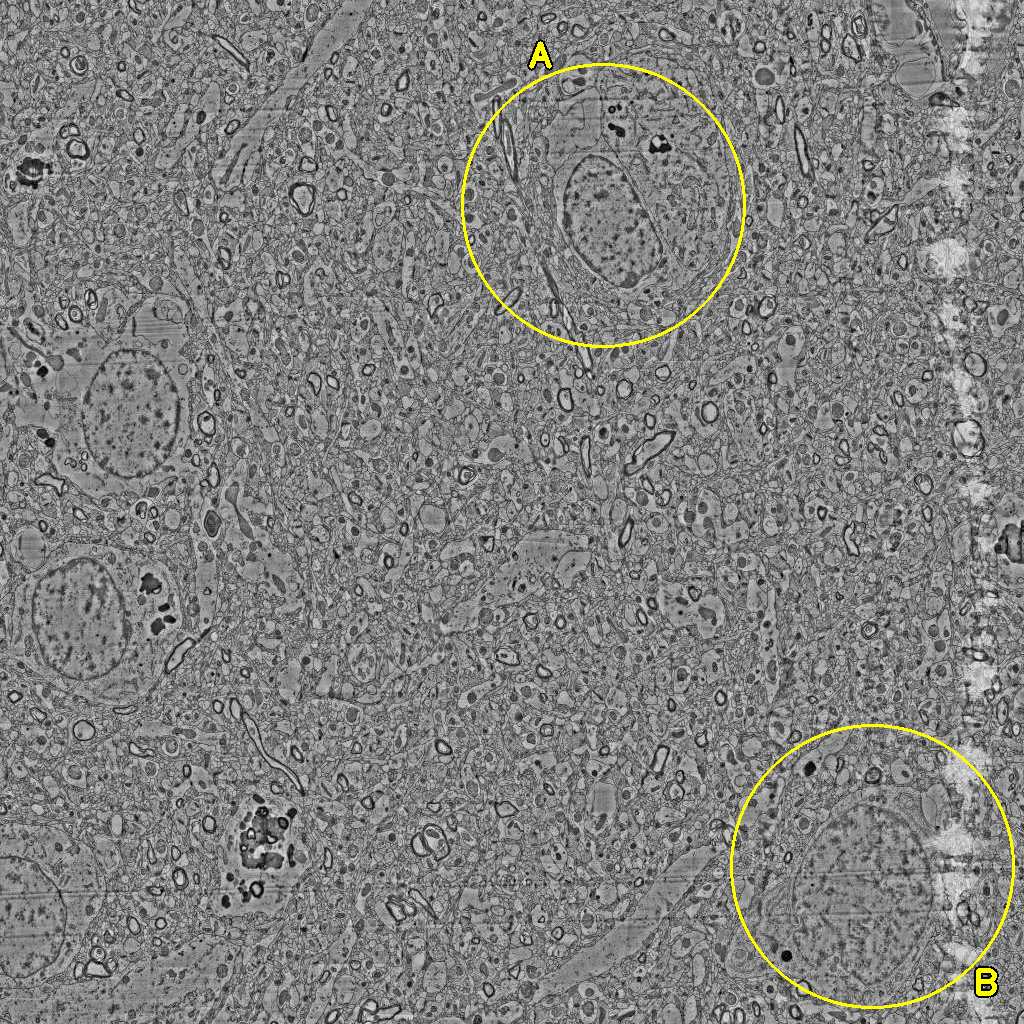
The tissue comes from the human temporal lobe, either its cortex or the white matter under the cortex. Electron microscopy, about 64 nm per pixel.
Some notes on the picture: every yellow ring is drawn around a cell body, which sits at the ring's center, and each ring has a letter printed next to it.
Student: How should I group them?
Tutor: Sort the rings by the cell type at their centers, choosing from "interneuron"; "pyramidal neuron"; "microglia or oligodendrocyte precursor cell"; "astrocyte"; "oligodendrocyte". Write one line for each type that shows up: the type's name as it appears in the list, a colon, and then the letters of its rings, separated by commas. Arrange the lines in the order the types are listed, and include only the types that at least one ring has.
interneuron: B
microglia or oligodendrocyte precursor cell: A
